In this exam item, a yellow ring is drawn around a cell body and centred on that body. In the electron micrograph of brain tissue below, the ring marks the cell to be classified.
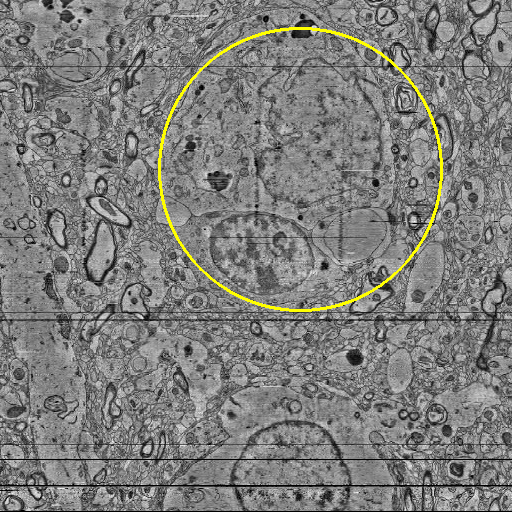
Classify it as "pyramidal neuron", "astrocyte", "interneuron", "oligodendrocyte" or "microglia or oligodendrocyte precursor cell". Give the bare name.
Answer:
interneuron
